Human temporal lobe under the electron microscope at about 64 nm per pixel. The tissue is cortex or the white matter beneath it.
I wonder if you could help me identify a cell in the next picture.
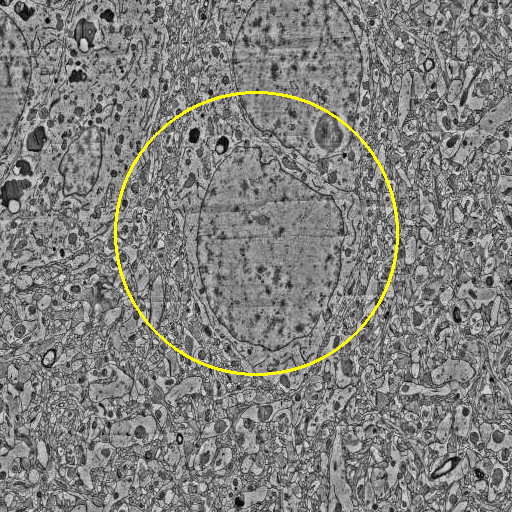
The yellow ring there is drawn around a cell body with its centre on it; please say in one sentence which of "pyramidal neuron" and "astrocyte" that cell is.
The yellow ring is centred on a pyramidal neuron.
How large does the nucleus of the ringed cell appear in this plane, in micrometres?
In this plane, the nucleus of the cell at the centre of the ring measures about 12 by 10 micrometres.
